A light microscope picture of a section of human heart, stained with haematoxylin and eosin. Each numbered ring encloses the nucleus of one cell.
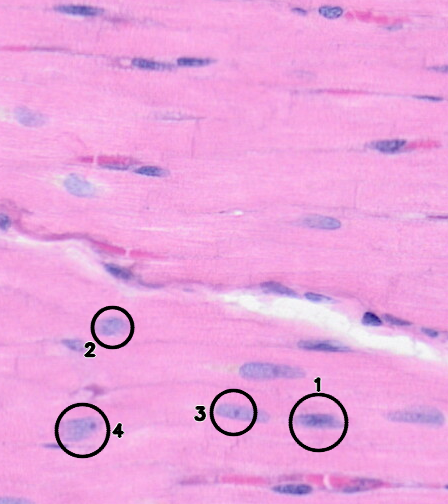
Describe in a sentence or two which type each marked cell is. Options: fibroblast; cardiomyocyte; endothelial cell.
Cell 1 is an endothelial cell. Cells 2, 3 and 4 are cardiomyocytes.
